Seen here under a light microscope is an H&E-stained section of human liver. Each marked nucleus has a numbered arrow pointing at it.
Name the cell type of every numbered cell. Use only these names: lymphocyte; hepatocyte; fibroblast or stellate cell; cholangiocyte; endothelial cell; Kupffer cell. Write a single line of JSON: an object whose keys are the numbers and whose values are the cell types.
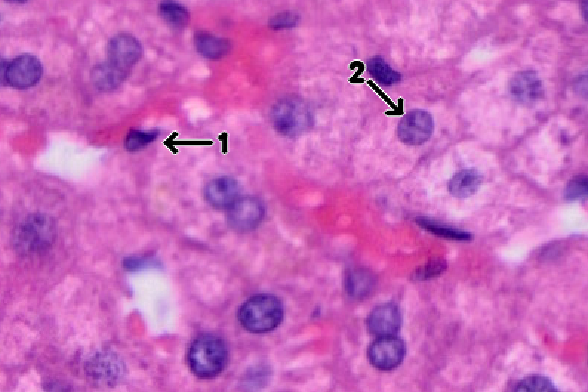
{"1": "endothelial cell", "2": "hepatocyte"}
